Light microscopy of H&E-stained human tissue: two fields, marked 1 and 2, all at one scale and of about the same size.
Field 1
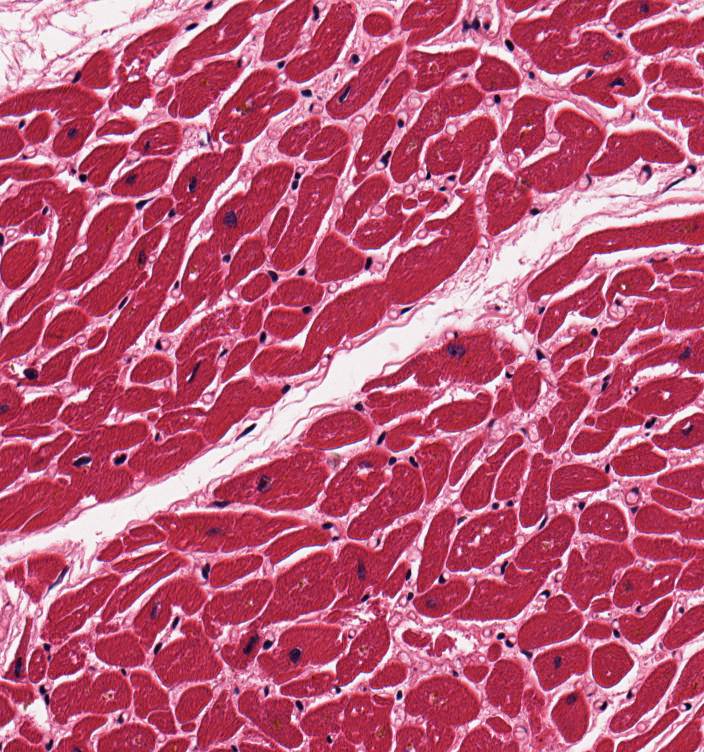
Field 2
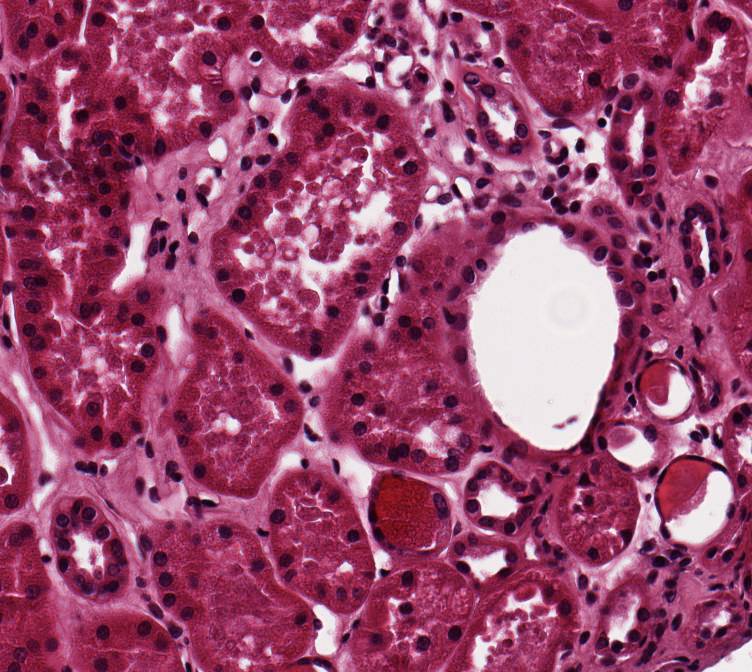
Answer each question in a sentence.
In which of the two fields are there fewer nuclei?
It is field 1 that has fewer nuclei in it.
